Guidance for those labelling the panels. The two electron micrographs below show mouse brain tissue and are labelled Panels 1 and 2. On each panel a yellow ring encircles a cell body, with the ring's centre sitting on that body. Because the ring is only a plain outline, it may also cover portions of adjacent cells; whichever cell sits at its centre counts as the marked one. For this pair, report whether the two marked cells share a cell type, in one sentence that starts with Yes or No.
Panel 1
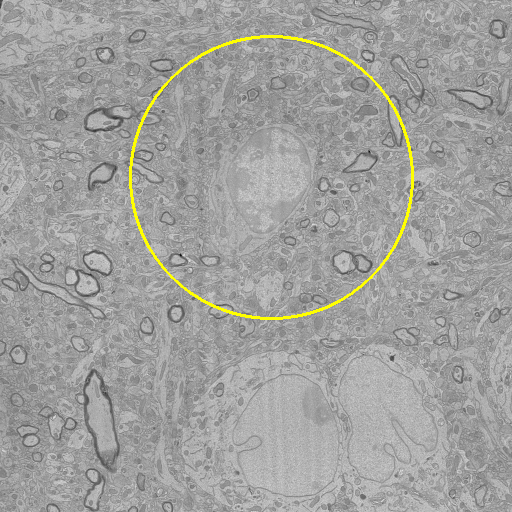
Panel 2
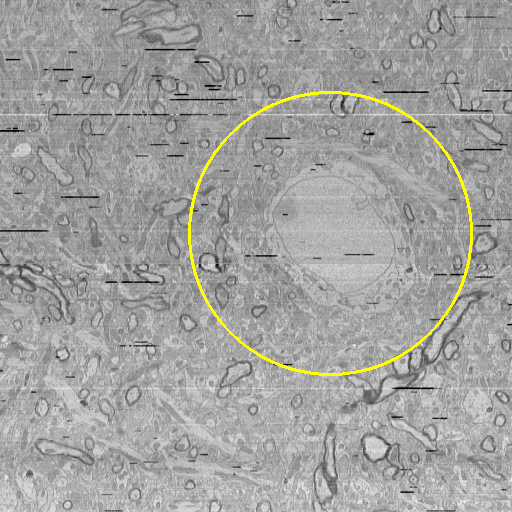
No, in Panel 1 and Panel 2 the marked cells at the ring centres are of two types.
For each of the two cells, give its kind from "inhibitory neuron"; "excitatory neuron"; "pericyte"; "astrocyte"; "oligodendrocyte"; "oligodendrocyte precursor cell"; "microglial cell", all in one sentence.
The first picture has an oligodendrocyte in its ring, the second has an excitatory neuron.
